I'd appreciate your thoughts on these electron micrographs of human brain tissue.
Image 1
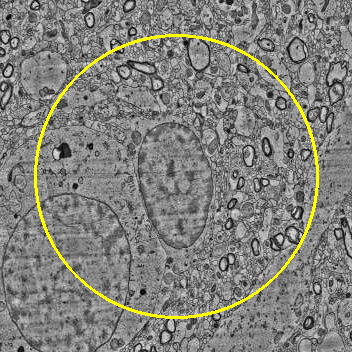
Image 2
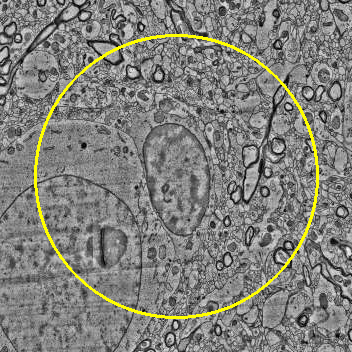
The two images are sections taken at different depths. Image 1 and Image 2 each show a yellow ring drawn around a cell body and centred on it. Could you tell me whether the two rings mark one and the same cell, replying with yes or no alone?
yes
